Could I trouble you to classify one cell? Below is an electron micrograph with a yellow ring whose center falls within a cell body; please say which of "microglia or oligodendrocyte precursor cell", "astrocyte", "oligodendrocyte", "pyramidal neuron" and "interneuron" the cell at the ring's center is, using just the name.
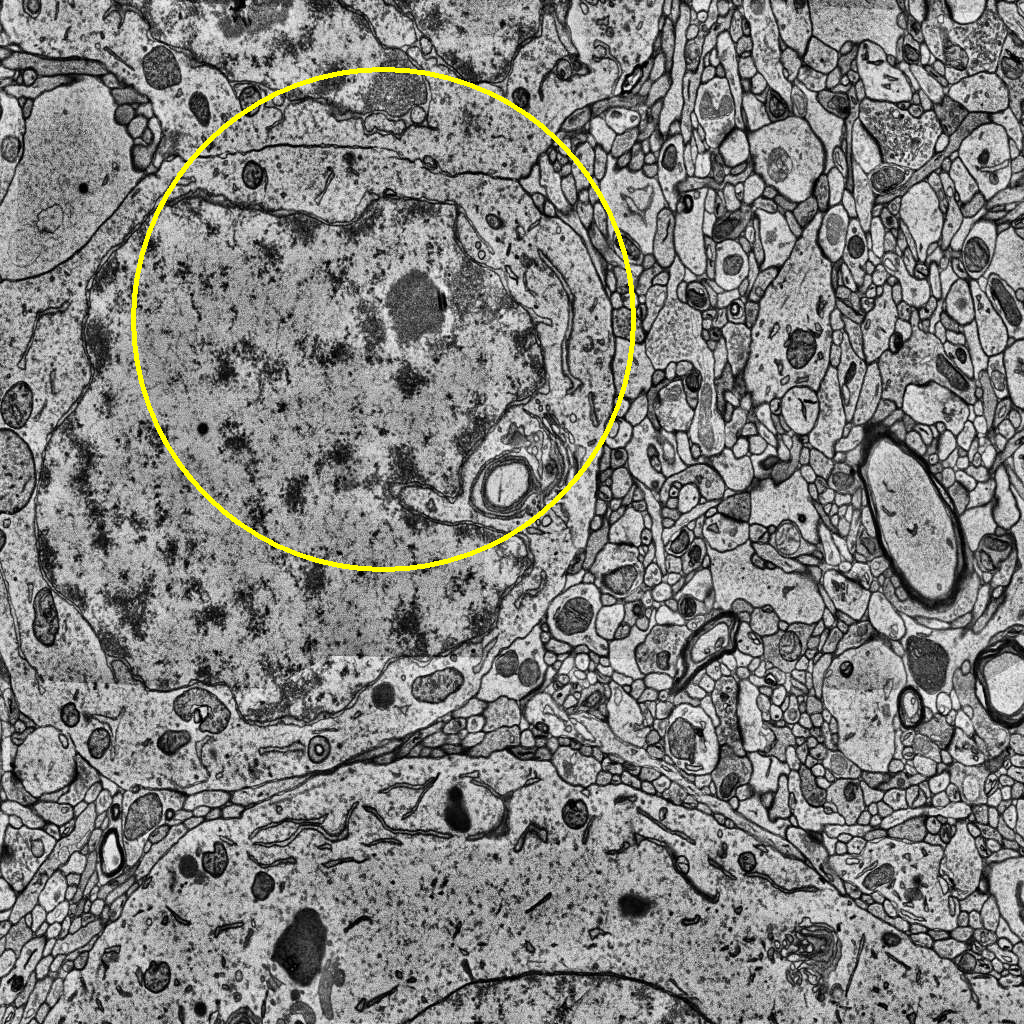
interneuron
